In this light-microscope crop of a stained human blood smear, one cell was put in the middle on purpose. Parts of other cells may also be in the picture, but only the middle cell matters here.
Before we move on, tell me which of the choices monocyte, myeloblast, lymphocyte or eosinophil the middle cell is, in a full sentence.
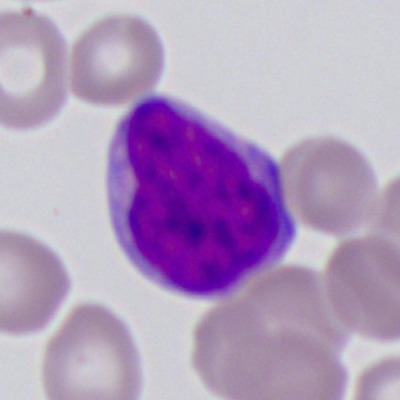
In the middle of this smear crop is a myeloblast.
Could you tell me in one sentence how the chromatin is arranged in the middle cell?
Chromatin in the nucleus here is coarsely clumped.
